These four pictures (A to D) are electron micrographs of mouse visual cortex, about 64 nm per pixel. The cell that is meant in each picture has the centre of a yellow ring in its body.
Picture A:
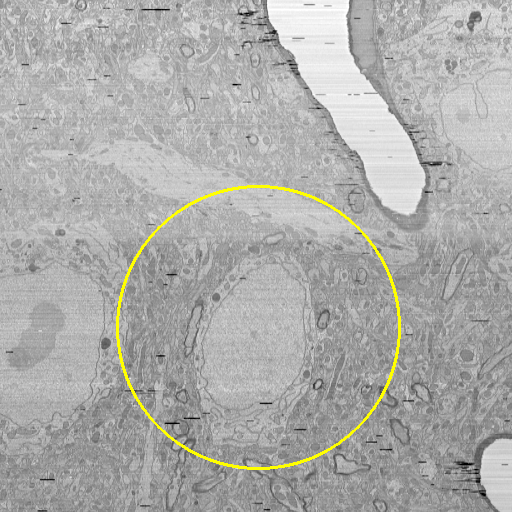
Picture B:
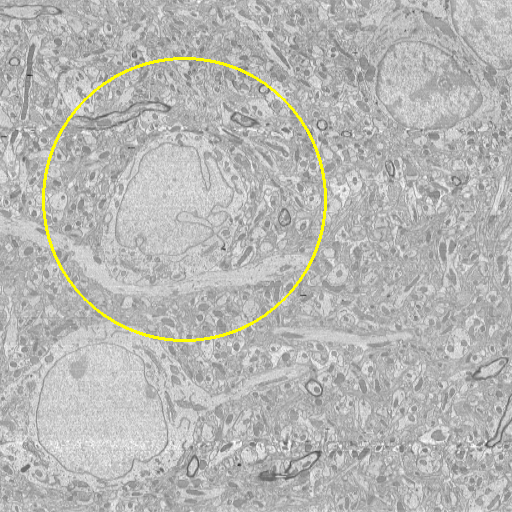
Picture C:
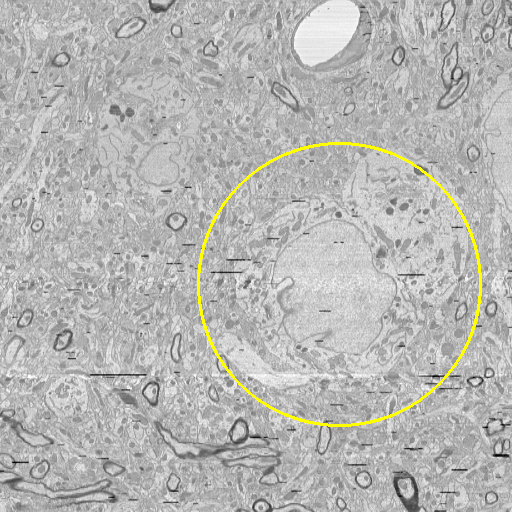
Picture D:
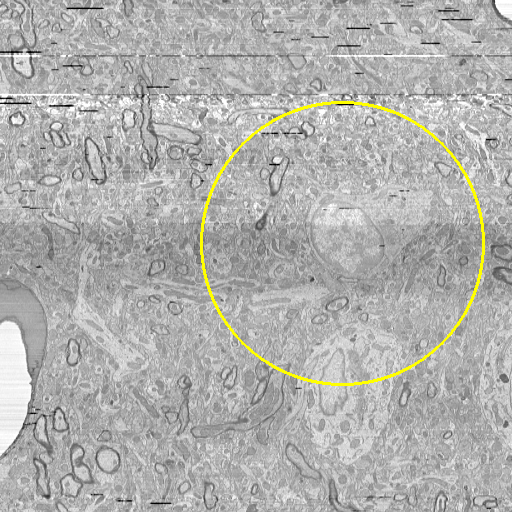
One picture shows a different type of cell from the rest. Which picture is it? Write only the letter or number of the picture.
D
